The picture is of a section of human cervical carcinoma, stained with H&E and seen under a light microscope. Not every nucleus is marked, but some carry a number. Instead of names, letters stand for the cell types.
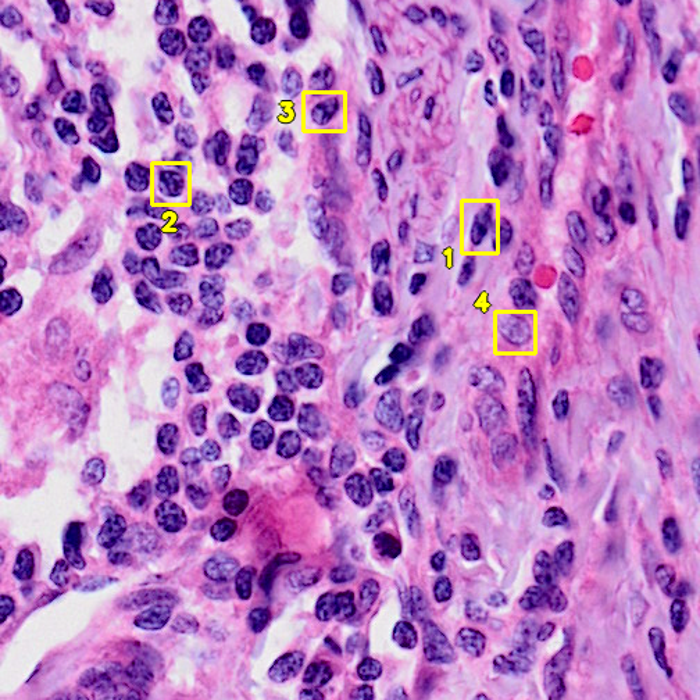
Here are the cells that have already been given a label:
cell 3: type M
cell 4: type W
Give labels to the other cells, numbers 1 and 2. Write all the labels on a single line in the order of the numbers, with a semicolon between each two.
type M; type M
